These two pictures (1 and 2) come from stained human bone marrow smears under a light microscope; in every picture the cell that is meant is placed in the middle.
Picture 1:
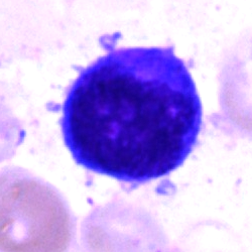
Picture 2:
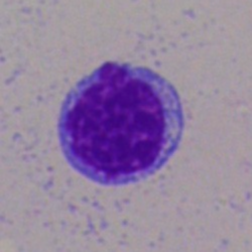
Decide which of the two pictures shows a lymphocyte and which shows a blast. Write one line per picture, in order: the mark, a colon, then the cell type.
1: blast
2: lymphocyte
